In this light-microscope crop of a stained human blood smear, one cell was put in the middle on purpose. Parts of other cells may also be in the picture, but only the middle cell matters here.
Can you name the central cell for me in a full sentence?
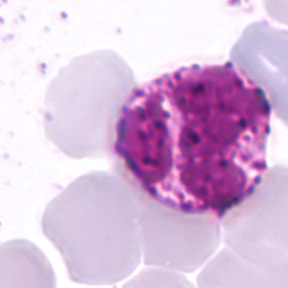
In this smear crop, the middle cell is a basophil.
